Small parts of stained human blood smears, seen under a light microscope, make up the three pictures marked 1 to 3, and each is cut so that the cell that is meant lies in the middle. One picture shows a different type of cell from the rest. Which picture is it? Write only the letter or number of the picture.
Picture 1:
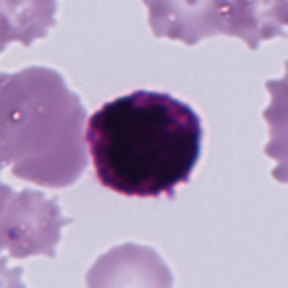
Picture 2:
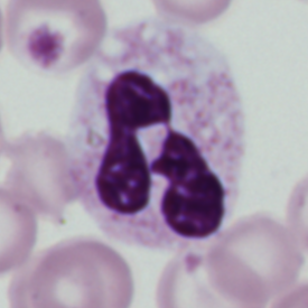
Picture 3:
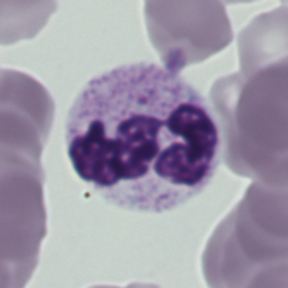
1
